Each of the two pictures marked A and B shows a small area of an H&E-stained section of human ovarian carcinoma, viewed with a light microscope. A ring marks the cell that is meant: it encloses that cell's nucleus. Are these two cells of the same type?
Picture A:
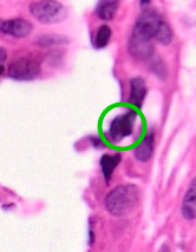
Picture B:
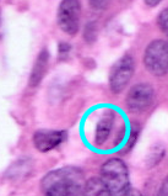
yes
